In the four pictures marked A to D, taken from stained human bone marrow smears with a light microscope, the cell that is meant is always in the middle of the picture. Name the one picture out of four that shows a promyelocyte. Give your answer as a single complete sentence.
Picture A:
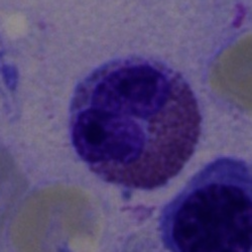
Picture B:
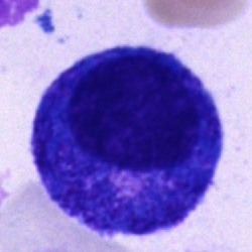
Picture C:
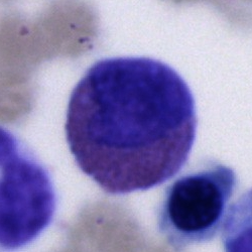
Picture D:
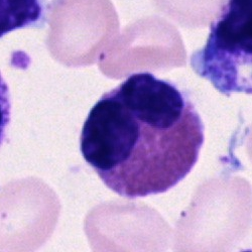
Picture B shows the promyelocyte.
